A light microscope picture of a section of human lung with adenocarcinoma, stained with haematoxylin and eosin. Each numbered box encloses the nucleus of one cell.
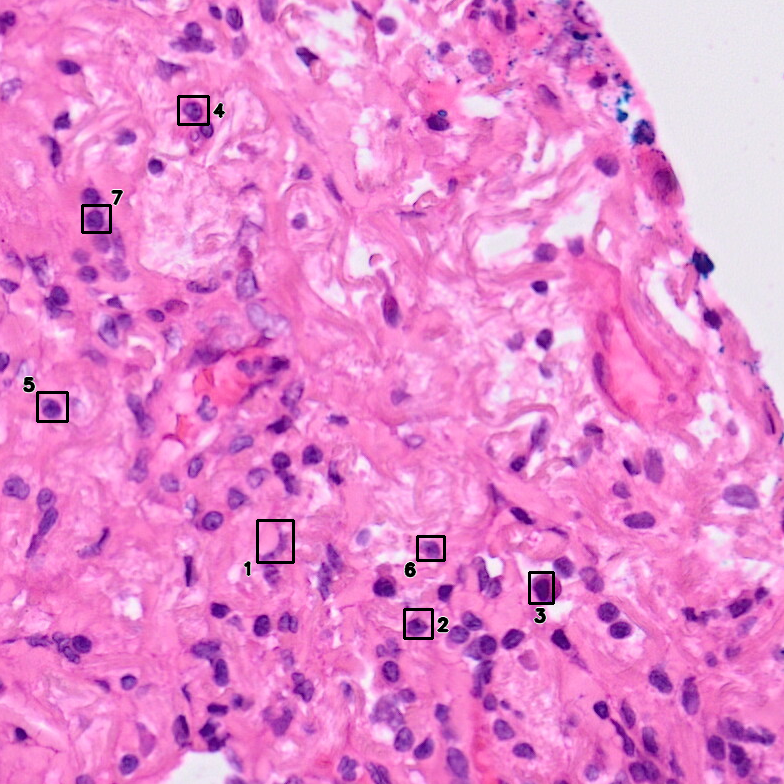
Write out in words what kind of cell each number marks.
Cell 1 is a fibroblast, cell 2 is a lymphocyte, cell 3 is a plasma cell, cell 4 is a mast cell, cell 5 is a lymphocyte, cell 6 is a lymphocyte and cell 7 is a lymphocyte.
